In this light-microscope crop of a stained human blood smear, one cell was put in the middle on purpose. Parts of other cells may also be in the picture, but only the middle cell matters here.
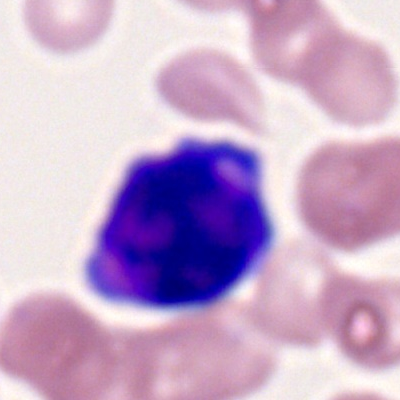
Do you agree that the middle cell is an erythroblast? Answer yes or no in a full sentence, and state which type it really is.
No, rather than an erythroblast, the central cell is a myeloblast.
